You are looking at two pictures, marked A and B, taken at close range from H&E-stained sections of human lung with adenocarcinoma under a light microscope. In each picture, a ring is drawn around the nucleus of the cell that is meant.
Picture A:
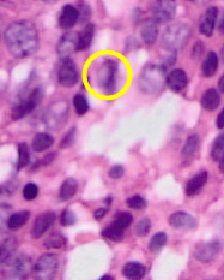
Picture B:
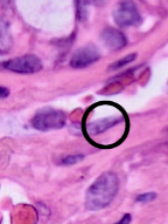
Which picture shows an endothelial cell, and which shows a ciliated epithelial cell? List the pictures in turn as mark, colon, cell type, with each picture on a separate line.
A: ciliated epithelial cell
B: endothelial cell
